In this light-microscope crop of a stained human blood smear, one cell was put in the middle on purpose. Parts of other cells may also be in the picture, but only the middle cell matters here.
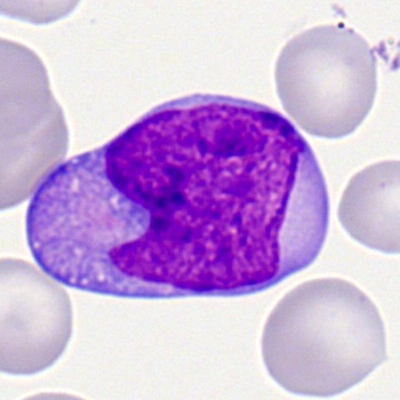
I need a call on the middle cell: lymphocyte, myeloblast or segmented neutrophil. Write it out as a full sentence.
This crop is built around a myeloblast at its centre.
